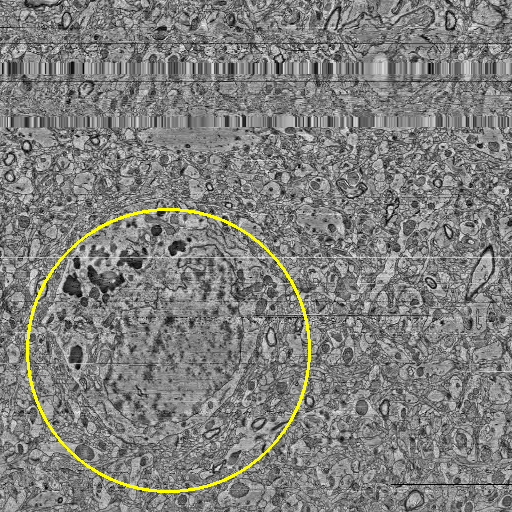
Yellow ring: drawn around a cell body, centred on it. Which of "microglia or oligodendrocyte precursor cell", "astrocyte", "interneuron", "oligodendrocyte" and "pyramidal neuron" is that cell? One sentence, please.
That cell body is from an interneuron.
